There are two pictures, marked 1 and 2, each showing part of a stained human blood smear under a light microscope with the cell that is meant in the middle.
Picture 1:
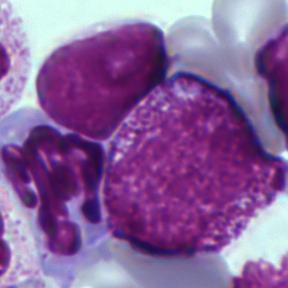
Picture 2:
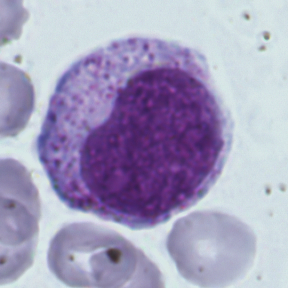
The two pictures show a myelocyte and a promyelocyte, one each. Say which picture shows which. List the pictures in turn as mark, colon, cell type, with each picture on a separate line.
1: myelocyte
2: promyelocyte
